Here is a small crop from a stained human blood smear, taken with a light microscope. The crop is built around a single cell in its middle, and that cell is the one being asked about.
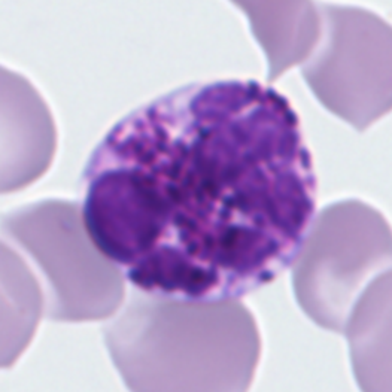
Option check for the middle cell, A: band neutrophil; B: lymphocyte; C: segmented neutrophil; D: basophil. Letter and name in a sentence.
Option D holds, for the cell in the middle is a basophil.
